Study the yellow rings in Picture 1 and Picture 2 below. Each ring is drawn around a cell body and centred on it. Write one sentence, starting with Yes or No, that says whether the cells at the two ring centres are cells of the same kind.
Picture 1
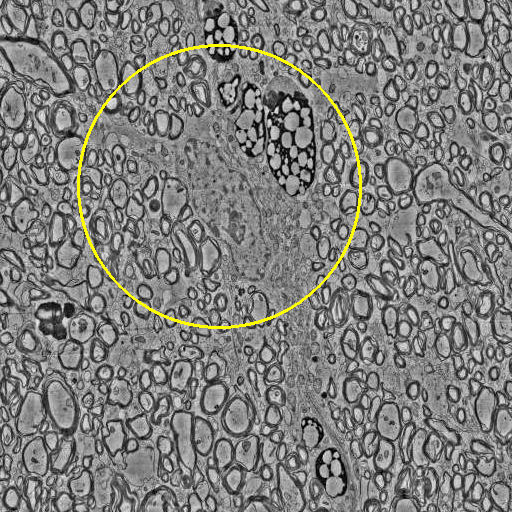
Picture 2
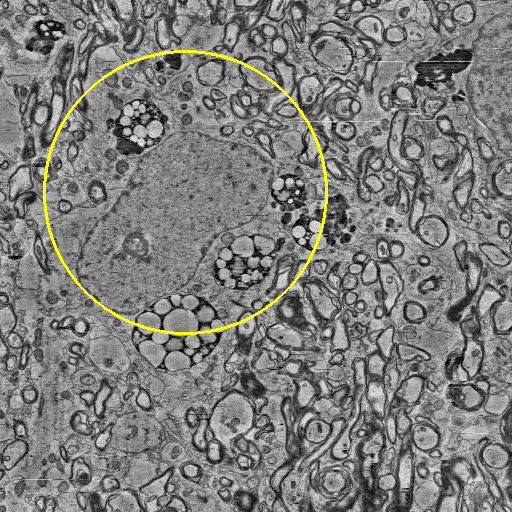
Yes, the cells at both ring centres are of the same kind.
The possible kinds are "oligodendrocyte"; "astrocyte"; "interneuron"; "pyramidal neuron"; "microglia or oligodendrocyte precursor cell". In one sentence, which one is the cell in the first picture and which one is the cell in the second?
The ring centre holds an astrocyte in each of the two pictures.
